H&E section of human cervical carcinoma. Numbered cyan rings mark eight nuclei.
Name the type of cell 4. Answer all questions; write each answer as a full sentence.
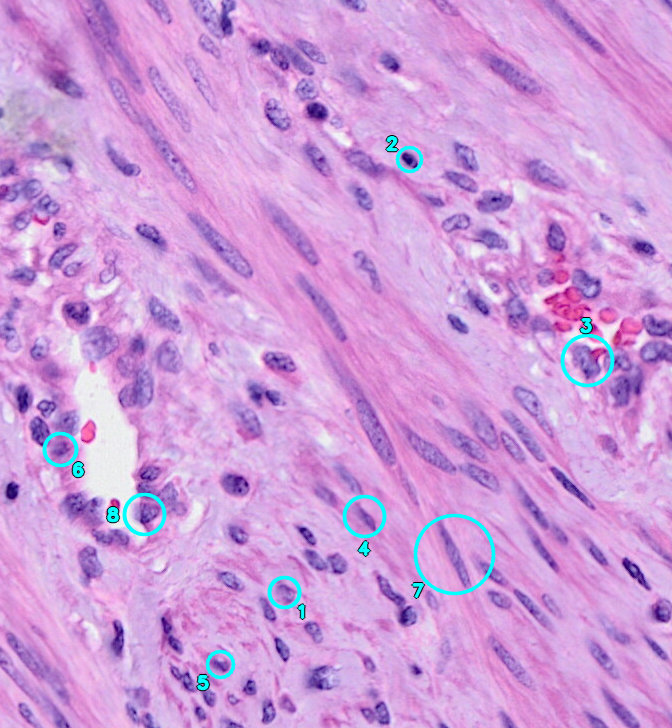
Regarding cell 4, this one is a smooth muscle cell.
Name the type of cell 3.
The cell that goes by number 3 is an endothelial cell.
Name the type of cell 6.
Numbered cell 6 is an endothelial cell in this tissue section.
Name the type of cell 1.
The cell whose nucleus carries the number 1 is a smooth muscle cell.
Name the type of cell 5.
Identified by the number 5, the cell is a smooth muscle cell.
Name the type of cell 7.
The cell tagged with 7 in this tissue section is a smooth muscle cell.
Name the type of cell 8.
Cell 8, as marked in the section, is an endothelial cell.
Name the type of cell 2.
The cell numbered 2 represents a lymphocyte.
